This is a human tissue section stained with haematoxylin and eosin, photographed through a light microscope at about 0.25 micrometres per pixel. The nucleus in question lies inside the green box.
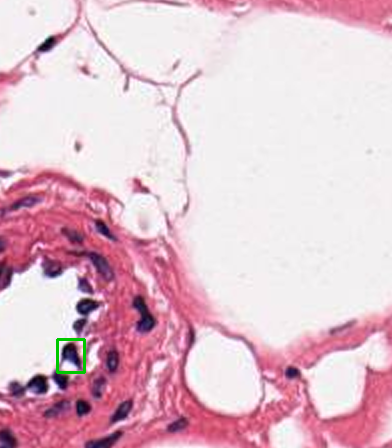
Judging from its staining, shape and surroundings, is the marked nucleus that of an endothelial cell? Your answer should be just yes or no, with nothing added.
yes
